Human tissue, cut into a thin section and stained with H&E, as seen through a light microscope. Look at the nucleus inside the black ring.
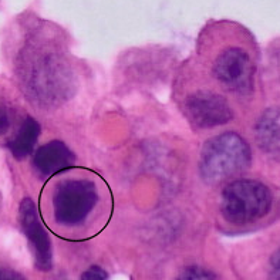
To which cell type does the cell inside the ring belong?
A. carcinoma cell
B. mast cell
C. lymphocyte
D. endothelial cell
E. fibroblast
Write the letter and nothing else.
A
